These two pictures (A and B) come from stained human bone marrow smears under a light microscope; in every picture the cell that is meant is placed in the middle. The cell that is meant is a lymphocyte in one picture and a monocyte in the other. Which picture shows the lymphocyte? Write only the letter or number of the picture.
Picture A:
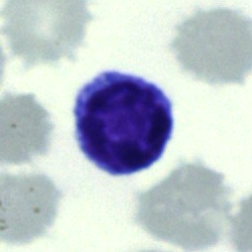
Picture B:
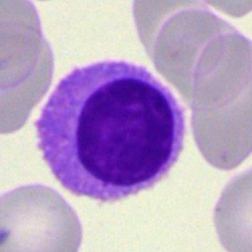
A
